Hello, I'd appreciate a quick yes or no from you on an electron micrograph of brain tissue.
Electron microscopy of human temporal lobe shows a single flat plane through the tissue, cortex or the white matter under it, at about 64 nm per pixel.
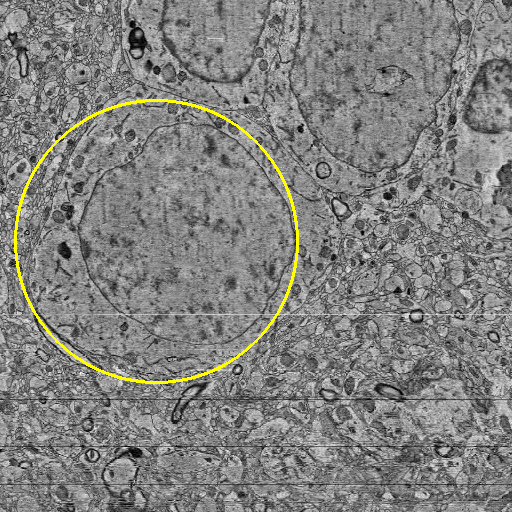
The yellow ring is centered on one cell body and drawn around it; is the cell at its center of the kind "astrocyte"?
no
